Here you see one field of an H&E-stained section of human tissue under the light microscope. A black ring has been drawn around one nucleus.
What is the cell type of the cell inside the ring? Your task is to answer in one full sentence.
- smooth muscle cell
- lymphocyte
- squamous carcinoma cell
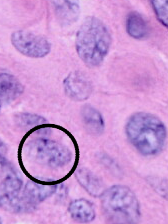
Microscopically, the cell inside the ring is categorized as a squamous carcinoma cell.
